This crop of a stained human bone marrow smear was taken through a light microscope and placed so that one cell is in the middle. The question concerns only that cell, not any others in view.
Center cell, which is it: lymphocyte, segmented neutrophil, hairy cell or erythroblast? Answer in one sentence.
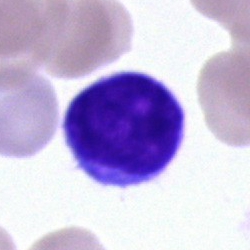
As for the central cell, it is a lymphocyte.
